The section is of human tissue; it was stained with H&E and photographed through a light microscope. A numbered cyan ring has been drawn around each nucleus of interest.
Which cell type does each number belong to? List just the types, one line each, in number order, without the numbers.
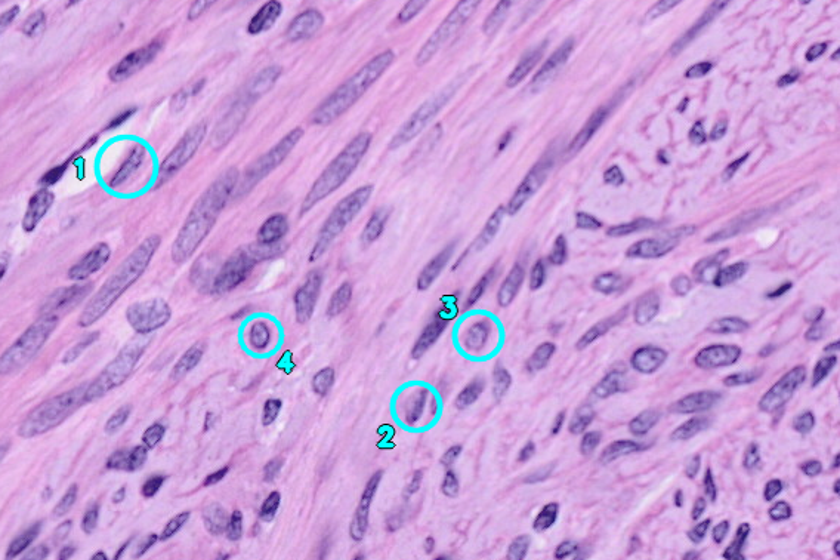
endothelial cell
smooth muscle cell
smooth muscle cell
smooth muscle cell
